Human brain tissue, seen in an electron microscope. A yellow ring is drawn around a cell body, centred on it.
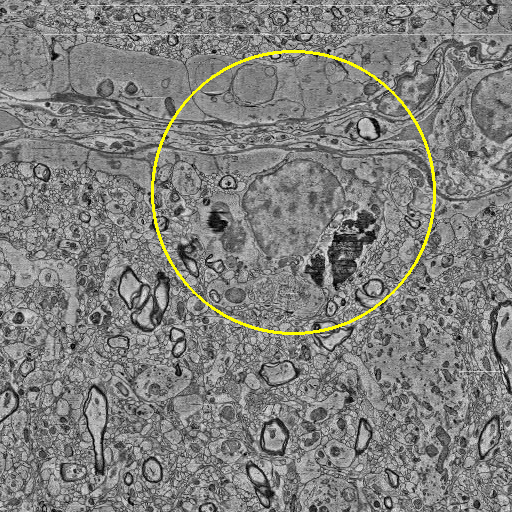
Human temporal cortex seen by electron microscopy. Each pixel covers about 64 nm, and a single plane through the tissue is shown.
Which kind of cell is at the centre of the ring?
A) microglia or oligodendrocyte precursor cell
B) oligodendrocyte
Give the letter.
B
